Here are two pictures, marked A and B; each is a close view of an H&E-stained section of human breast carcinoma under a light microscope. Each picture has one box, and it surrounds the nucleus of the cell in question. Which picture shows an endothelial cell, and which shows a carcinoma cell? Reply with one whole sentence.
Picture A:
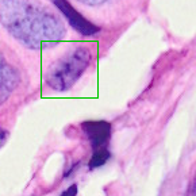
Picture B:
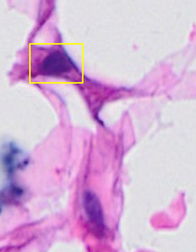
Picture B shows an endothelial cell, while picture A shows a carcinoma cell.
